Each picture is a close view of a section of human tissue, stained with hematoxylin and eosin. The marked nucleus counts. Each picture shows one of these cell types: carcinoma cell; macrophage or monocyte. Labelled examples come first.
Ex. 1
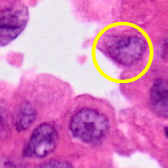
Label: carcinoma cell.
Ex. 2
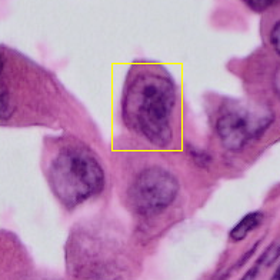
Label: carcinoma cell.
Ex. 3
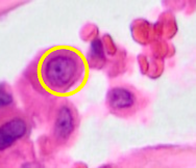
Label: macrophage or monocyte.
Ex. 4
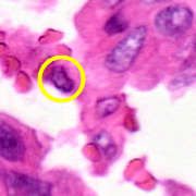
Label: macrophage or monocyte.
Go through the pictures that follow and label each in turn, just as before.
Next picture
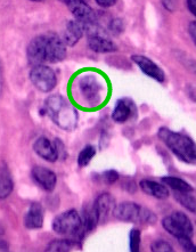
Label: macrophage or monocyte.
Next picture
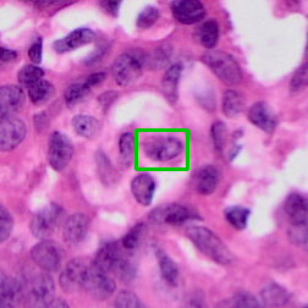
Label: macrophage or monocyte.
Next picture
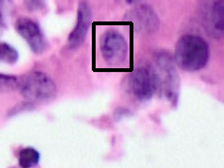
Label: macrophage or monocyte.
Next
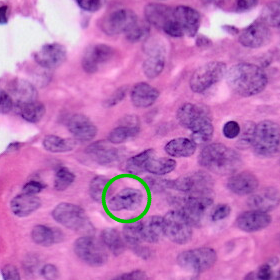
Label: macrophage or monocyte.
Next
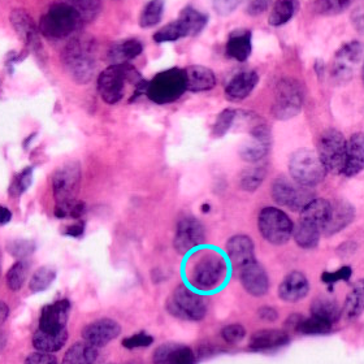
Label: carcinoma cell.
